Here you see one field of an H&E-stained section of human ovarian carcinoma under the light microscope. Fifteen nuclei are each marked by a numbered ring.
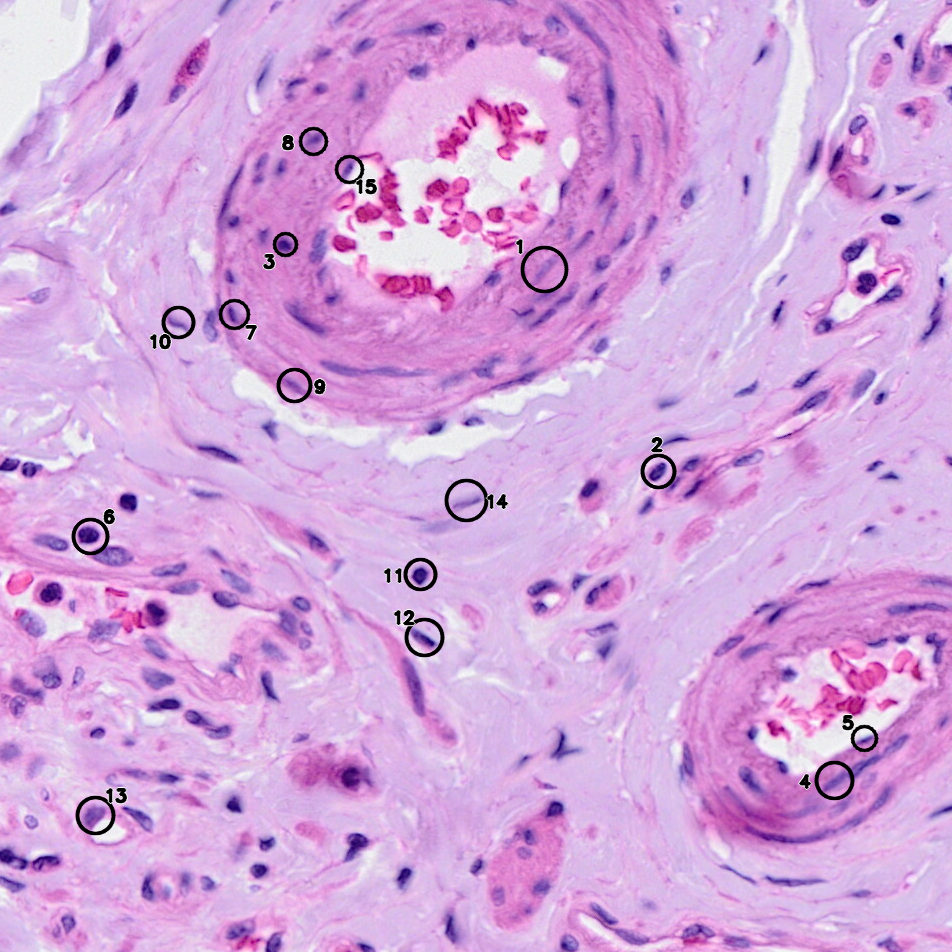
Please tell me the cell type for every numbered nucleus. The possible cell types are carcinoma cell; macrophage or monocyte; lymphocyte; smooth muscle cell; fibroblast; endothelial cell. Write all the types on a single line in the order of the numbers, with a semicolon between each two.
smooth muscle cell; lymphocyte; smooth muscle cell; smooth muscle cell; endothelial cell; lymphocyte; smooth muscle cell; smooth muscle cell; smooth muscle cell; fibroblast; lymphocyte; fibroblast; endothelial cell; fibroblast; endothelial cell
